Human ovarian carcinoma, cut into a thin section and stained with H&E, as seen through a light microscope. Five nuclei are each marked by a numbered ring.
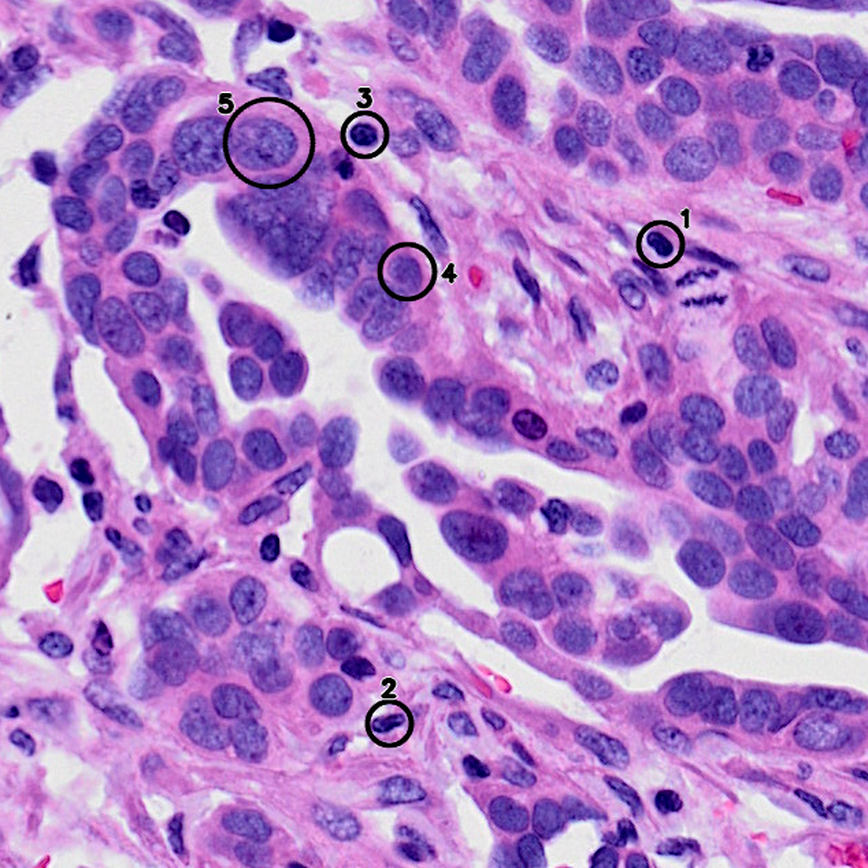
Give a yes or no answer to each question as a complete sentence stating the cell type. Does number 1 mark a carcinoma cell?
No, the cell given number 1 is a lymphocyte, as opposed to a carcinoma cell.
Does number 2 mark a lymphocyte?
Yes, number 2 corresponds to a lymphocyte.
